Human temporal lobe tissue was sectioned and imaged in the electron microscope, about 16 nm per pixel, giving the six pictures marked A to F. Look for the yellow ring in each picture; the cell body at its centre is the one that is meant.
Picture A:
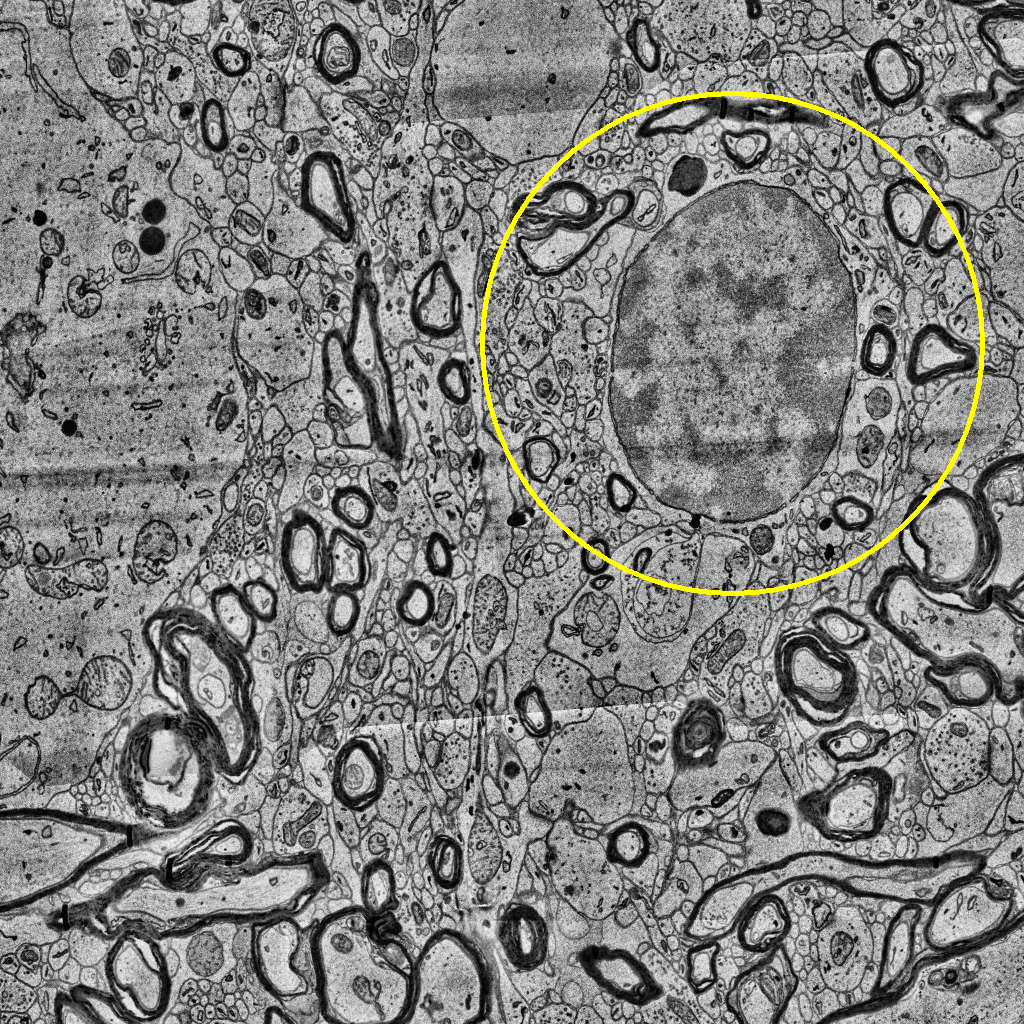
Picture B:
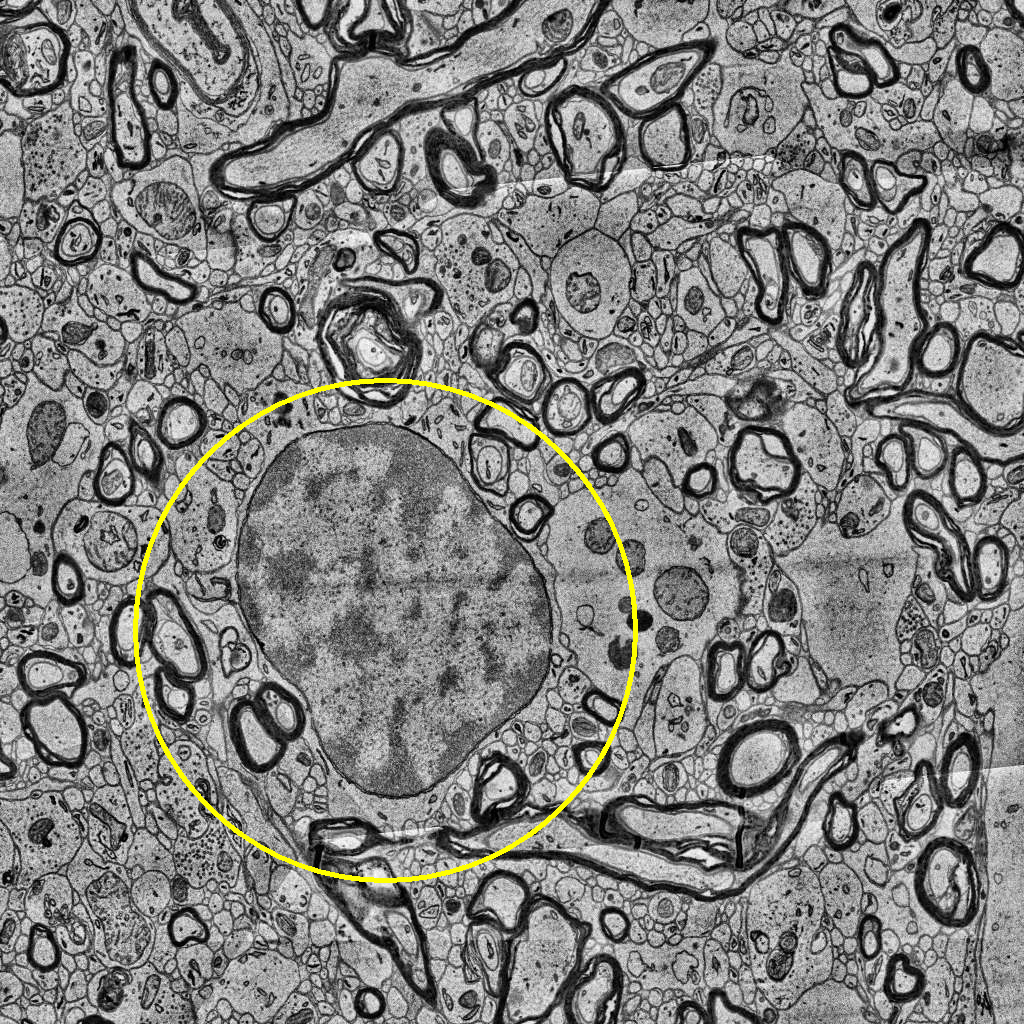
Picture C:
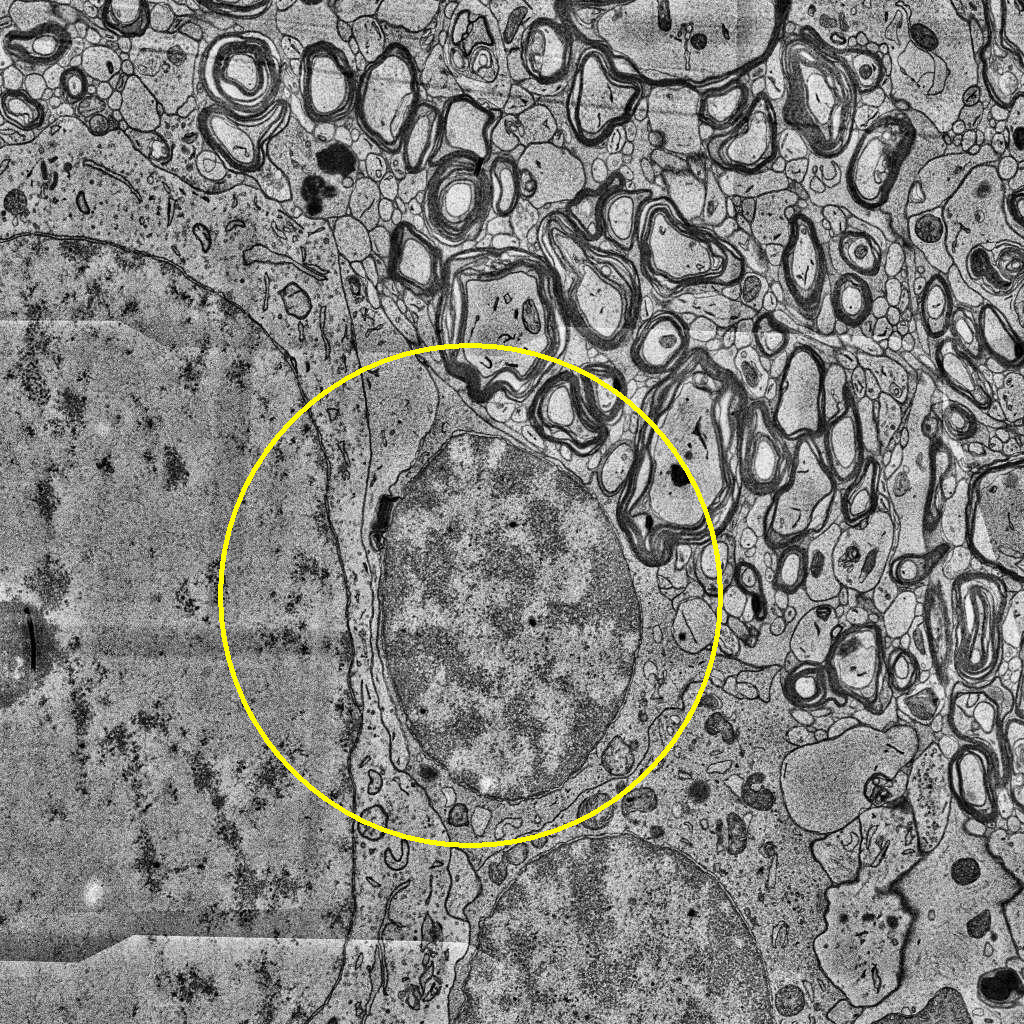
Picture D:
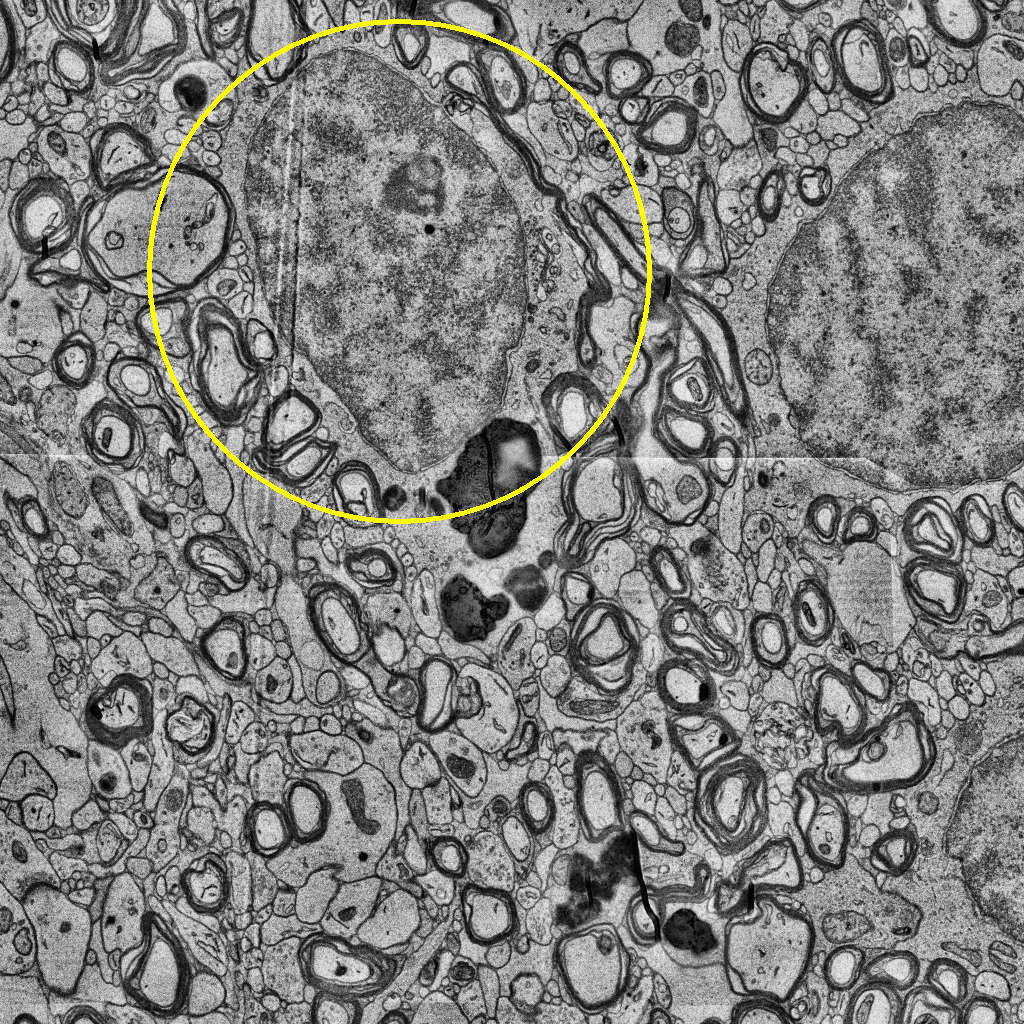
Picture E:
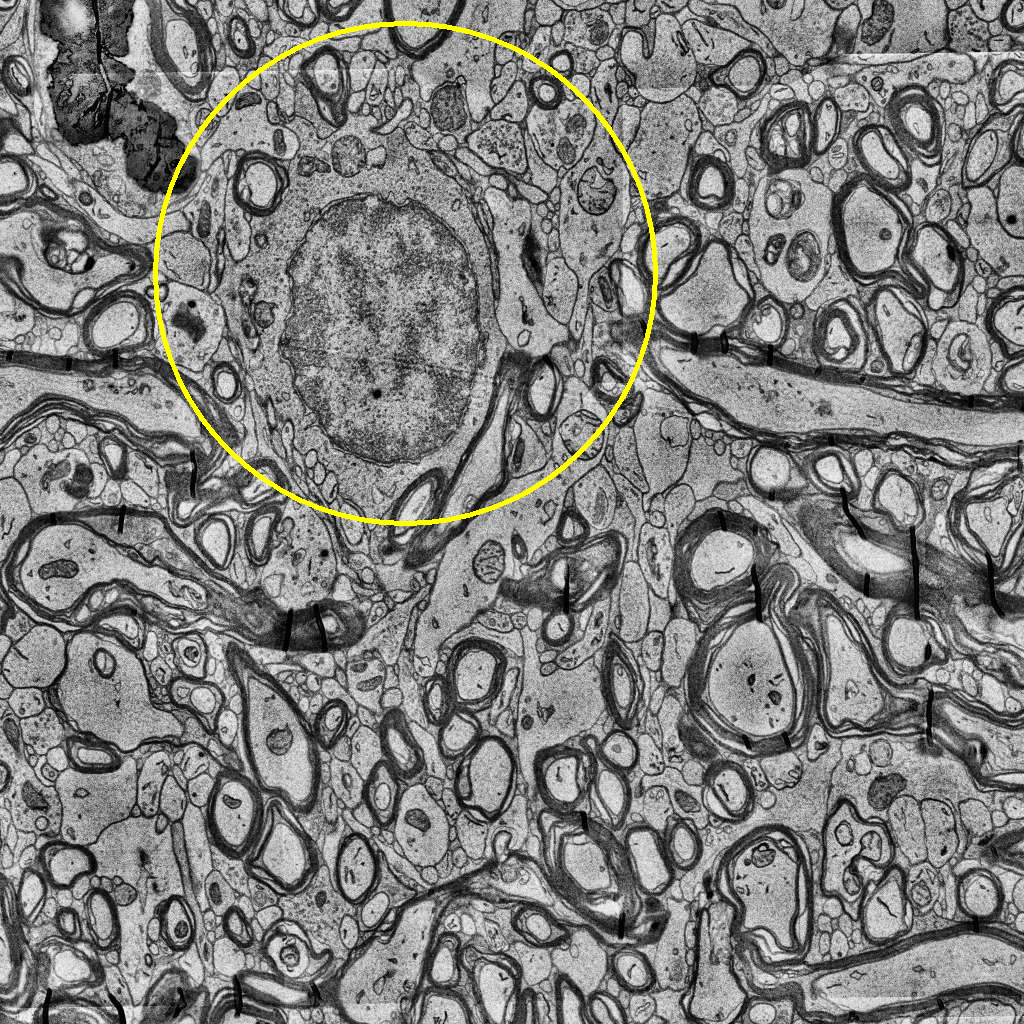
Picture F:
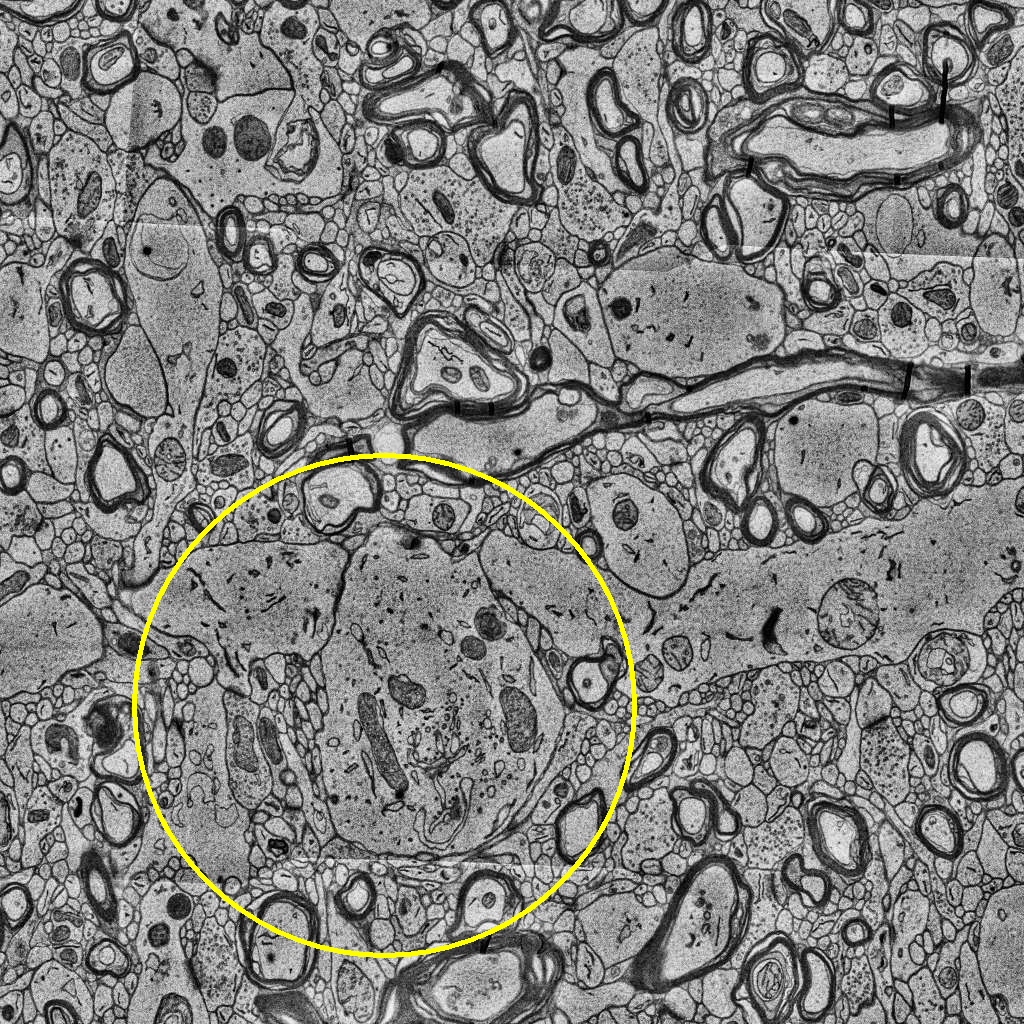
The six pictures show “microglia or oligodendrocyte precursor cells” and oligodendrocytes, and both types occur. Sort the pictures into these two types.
Pictures A, B and F show “microglia or oligodendrocyte precursor cells”, and pictures C, D and E show oligodendrocytes.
